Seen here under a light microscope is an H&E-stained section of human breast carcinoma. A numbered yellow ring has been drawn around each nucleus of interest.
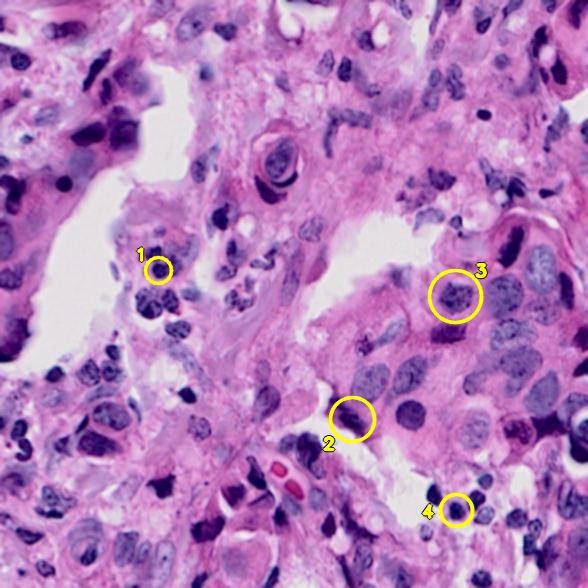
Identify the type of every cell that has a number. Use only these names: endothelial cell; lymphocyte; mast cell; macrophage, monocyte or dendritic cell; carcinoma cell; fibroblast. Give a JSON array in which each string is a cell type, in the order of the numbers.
["lymphocyte", "carcinoma cell", "carcinoma cell", "lymphocyte"]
